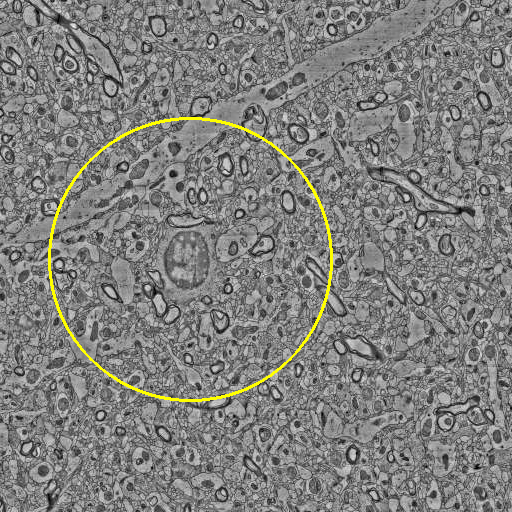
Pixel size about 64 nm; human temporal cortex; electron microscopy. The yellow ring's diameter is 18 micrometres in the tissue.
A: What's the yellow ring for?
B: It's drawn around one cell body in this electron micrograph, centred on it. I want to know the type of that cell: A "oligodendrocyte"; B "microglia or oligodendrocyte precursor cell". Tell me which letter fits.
A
